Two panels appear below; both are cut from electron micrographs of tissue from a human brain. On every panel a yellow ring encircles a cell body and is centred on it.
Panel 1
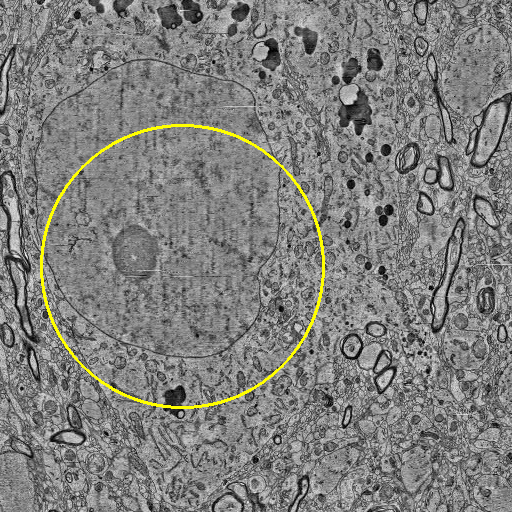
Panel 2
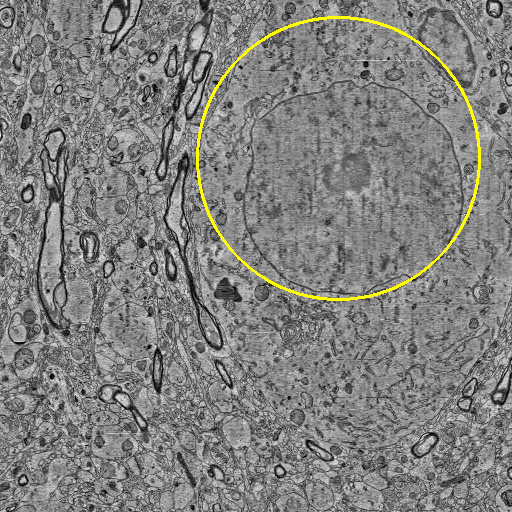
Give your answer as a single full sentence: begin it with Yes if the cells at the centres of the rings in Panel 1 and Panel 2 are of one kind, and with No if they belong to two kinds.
Yes, the cells in the middle of the rings in Panels 1 and 2 are of one kind.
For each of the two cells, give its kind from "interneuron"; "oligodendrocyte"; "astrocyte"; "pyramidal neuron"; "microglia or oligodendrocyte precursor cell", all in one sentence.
Each cell, in the first picture and the second, is a pyramidal neuron.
